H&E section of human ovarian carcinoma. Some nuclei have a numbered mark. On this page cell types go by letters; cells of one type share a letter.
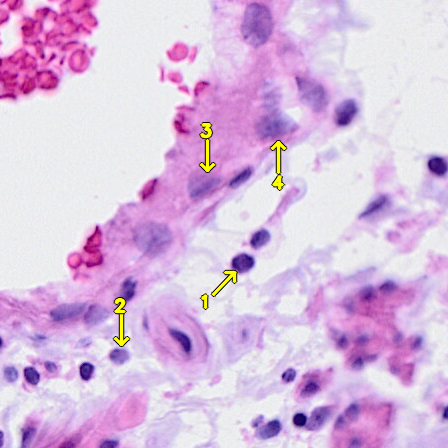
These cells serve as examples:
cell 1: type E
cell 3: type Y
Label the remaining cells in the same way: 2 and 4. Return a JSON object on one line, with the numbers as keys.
{"2": "type E", "4": "type Y"}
